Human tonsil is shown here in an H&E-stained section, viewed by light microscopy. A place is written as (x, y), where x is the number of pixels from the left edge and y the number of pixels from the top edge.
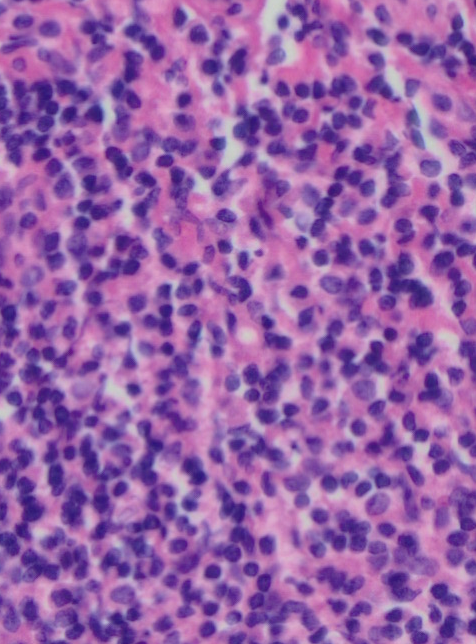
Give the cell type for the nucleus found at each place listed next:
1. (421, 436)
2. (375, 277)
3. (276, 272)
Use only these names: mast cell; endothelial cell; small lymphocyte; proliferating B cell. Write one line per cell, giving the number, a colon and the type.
1: small lymphocyte
2: small lymphocyte
3: endothelial cell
